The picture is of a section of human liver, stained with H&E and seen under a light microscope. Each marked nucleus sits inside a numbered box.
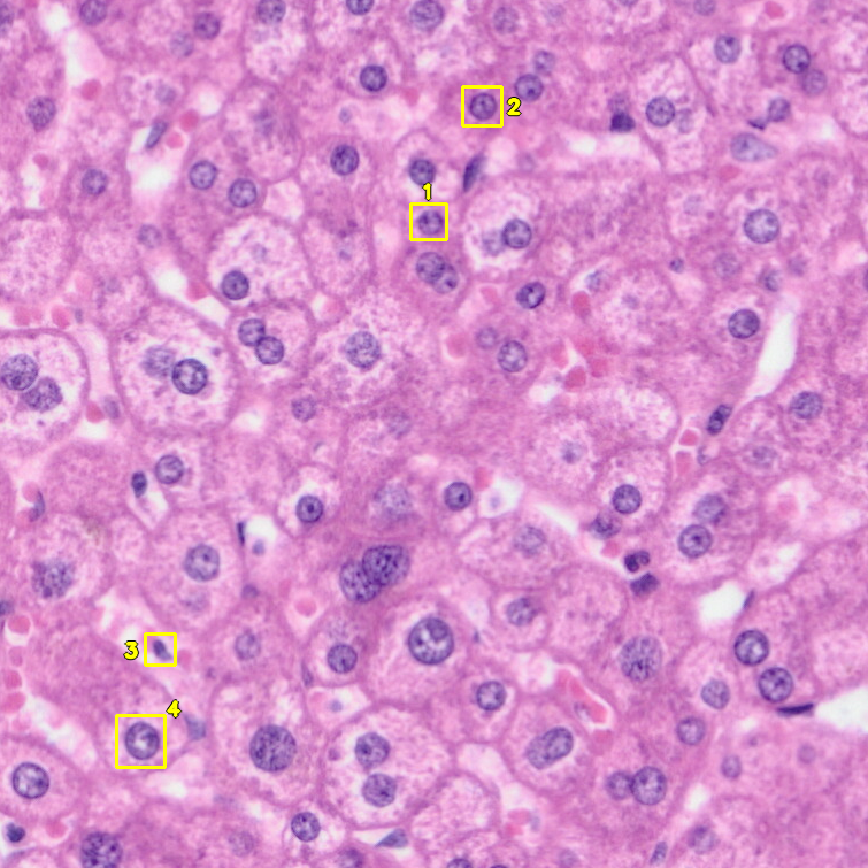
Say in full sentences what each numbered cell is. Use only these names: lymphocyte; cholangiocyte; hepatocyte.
Cells 1, 2 and 4 are hepatocytes. Cell 3 is a lymphocyte.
